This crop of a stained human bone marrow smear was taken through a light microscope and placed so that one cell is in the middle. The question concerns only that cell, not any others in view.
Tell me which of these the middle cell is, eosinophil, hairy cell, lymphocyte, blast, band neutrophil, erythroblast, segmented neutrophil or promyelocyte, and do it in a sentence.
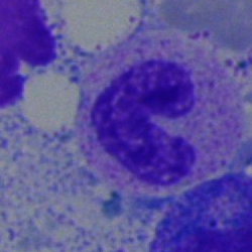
Here the cell in the middle is a band neutrophil.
